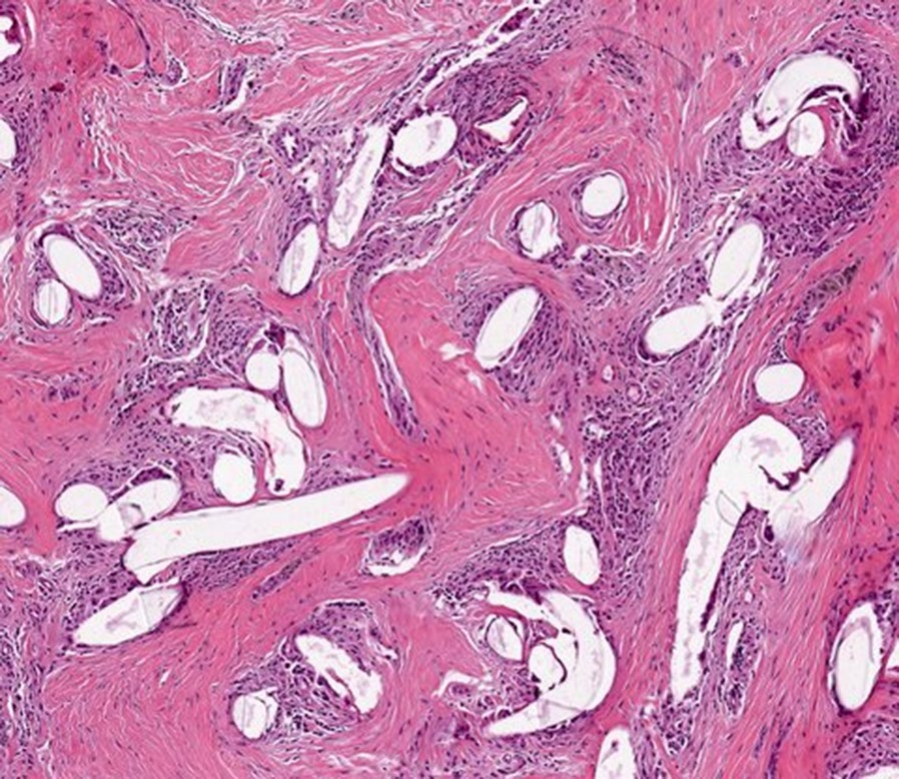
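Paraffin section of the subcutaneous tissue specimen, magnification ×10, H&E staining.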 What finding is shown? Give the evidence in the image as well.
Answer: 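Granulomatous reaction. Cellular purple collars surround the empty spaces. Bands of pink fibrous tissue lie between the cellular foci.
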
